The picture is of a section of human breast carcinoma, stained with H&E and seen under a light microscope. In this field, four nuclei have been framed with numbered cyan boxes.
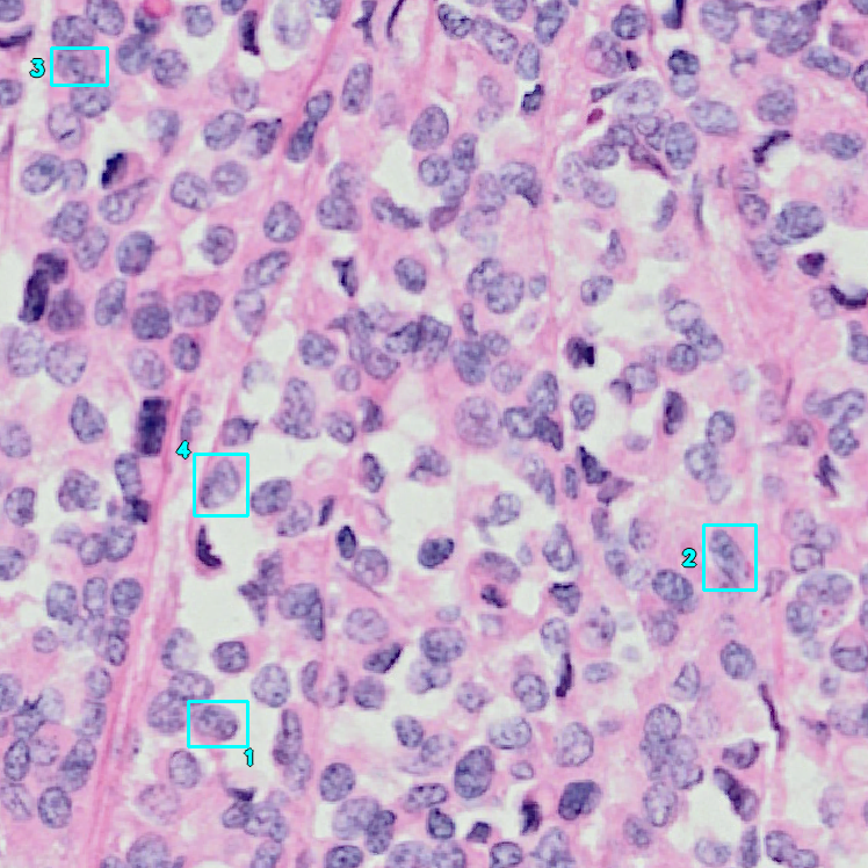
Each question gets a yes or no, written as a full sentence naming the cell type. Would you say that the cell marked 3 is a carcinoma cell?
Yes, the cell at number 3 is a carcinoma cell.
